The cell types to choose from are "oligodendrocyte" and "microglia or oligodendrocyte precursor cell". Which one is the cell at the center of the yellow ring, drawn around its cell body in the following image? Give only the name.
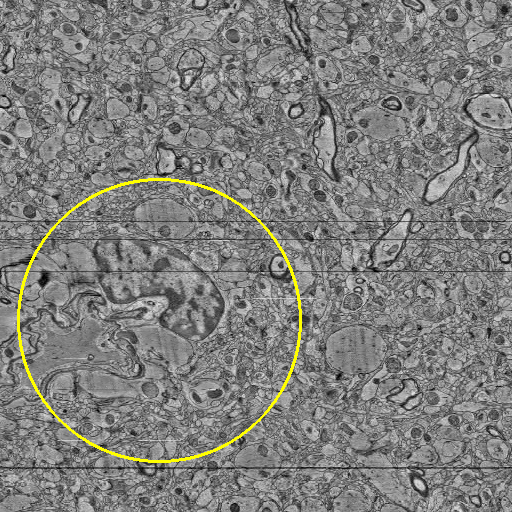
microglia or oligodendrocyte precursor cell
